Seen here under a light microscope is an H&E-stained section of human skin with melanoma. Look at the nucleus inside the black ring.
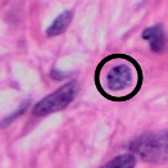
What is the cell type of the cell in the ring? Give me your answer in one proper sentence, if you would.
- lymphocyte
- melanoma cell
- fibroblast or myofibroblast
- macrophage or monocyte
As for its identity, the cell in the ring is a lymphocyte.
